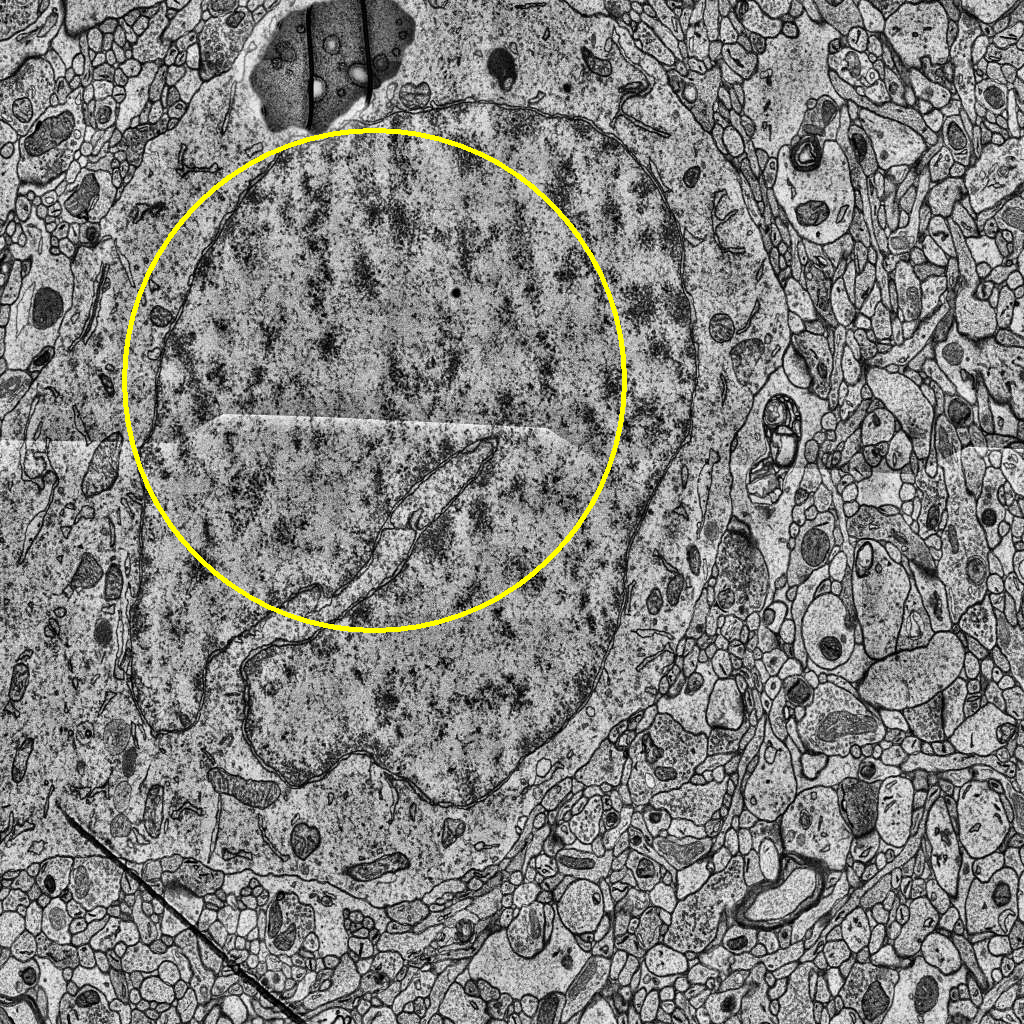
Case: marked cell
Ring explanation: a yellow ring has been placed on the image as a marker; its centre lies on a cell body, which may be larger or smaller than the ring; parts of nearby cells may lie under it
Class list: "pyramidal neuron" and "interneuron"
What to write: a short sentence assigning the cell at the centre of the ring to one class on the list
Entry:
The cell at the ring's centre is an interneuron.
